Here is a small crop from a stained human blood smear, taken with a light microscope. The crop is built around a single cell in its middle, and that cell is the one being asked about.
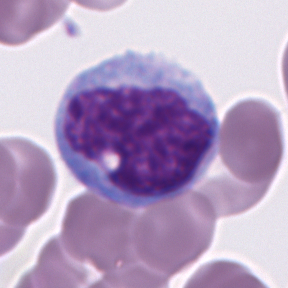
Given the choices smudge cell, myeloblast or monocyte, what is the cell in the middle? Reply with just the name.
monocyte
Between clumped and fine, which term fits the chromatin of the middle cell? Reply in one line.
Take a look at the chromatin, which is coarsely clumped.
